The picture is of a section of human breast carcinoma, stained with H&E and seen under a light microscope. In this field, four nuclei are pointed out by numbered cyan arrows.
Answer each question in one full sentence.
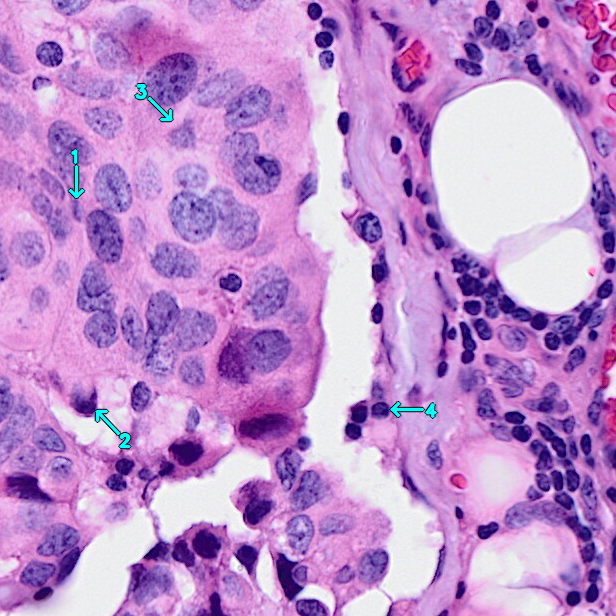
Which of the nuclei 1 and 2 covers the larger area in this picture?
Nucleus 2 is larger, with an area about 3 times that of nucleus 1.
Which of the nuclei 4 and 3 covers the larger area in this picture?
Nucleus 3 is larger, with an area about 2 times that of nucleus 4.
